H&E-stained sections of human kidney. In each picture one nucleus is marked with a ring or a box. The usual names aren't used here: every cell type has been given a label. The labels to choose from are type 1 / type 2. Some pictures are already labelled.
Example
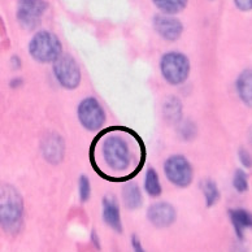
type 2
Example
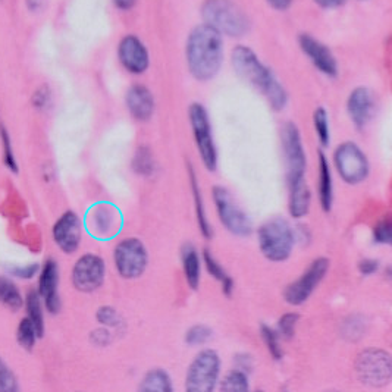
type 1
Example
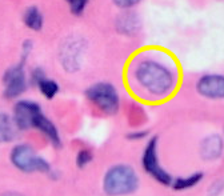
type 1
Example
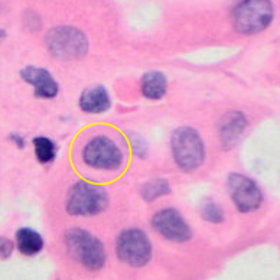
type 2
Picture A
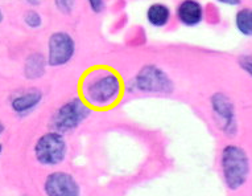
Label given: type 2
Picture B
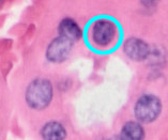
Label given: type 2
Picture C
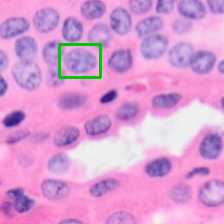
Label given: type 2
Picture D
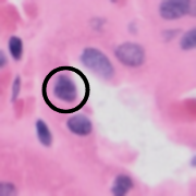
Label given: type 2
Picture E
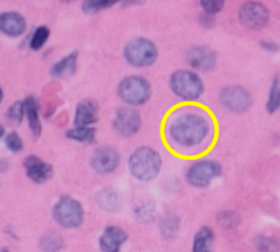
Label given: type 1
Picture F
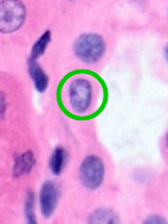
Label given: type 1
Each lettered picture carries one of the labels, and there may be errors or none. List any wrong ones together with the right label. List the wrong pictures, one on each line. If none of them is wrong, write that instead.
D: type 1, not type 2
